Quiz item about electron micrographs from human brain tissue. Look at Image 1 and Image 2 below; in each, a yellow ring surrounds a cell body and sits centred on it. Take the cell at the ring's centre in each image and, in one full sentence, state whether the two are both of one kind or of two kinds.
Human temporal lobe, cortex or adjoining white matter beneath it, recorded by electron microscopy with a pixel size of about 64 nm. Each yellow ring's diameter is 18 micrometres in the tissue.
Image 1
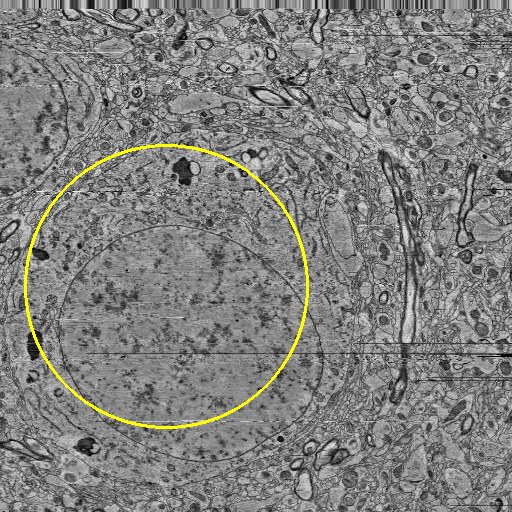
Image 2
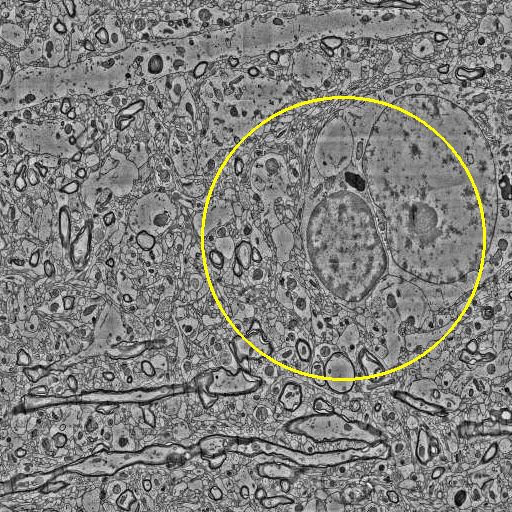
In Image 1 and Image 2, the cells at the ring centres are of two kinds.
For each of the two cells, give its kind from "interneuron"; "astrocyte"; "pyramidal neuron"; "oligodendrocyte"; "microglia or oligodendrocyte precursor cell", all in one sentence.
The first picture has a pyramidal neuron in its ring, the second has an oligodendrocyte.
